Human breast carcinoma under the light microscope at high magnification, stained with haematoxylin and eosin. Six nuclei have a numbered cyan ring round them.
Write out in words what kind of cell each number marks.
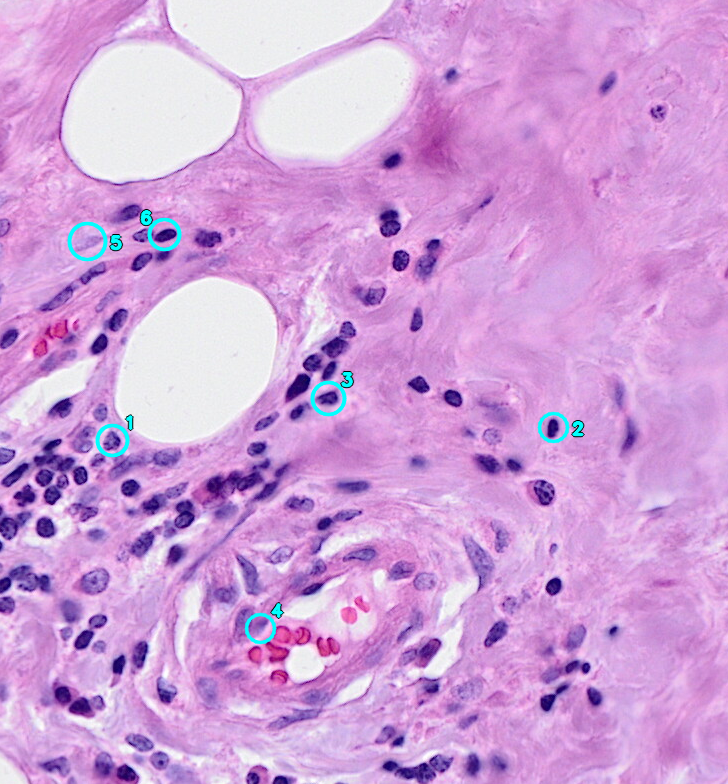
Cell 1 is a lymphocyte, cell 2 is a lymphocyte, cell 3 is a lymphocyte, cell 4 is an endothelial cell, cell 5 is a fibroblast and cell 6 is a lymphocyte.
